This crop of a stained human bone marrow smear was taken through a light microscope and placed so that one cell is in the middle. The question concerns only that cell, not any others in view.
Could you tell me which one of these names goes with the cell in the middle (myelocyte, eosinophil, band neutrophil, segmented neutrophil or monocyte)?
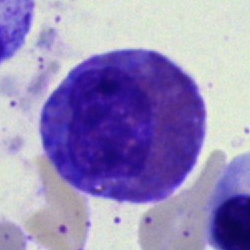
eosinophil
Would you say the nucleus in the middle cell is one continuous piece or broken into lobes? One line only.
If you check the nucleus, you will find one compact mass, round, oval or kidney-shaped.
